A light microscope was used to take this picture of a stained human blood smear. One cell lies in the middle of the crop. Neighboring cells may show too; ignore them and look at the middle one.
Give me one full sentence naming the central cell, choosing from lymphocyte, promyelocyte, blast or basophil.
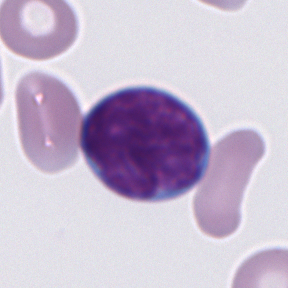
Occupying the centre of the crop is a lymphocyte.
